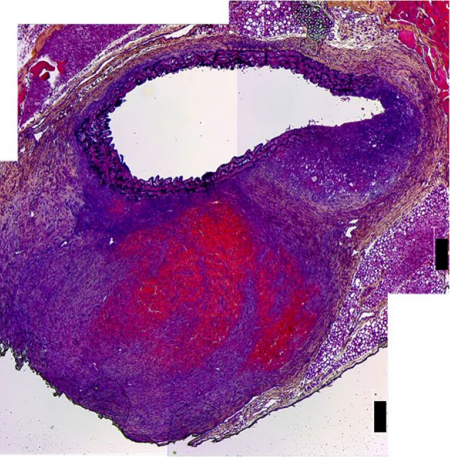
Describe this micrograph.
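Cross-section of an aneurysmal vessel with an open, slit-like lumen at the top and a large mass lying within the wall below it. Below and beside the lumen the wall is expanded by a broad purple-staining mass, and in its lower middle lies a large area stained bright red. The purple tissue at the edge of the mass grades outward into a paler, brownish fibrous outer layer. Loose, pale, vacuolated tissue lies outside the vessel at the margins of the section.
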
